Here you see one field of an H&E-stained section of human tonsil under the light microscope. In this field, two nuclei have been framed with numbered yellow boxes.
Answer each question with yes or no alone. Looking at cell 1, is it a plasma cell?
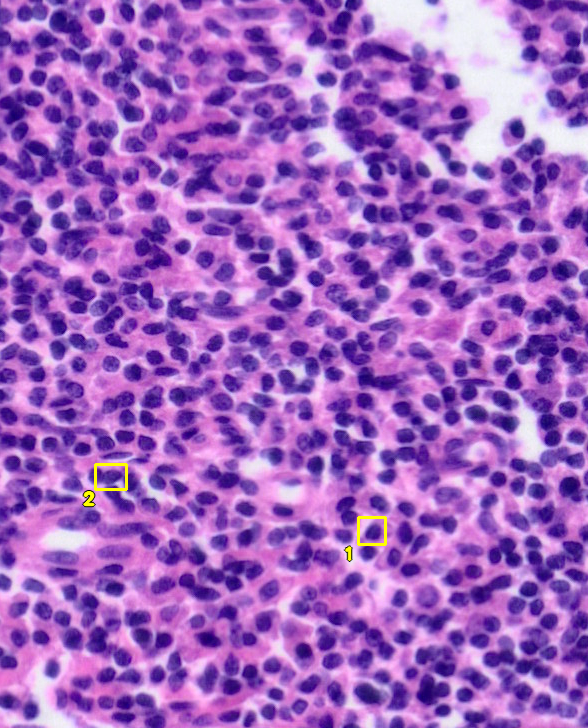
yes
